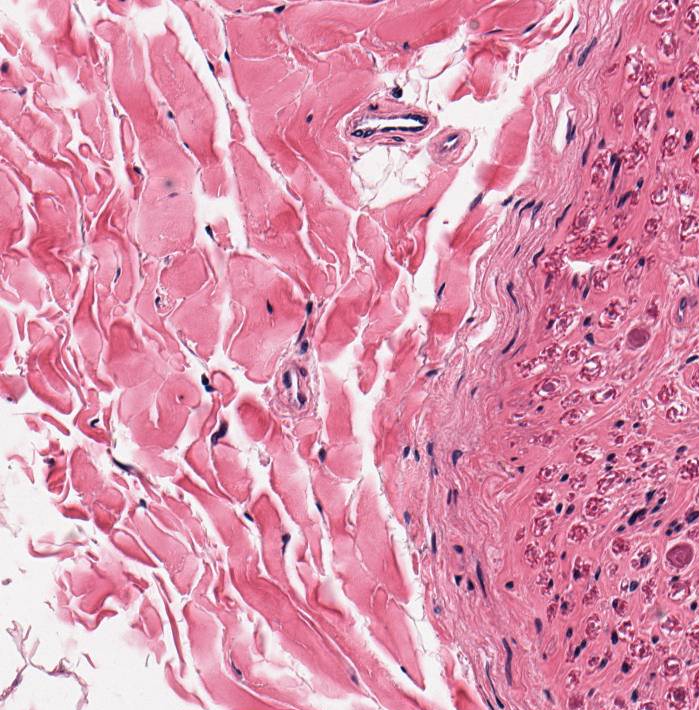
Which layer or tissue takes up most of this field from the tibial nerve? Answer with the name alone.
epineurium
